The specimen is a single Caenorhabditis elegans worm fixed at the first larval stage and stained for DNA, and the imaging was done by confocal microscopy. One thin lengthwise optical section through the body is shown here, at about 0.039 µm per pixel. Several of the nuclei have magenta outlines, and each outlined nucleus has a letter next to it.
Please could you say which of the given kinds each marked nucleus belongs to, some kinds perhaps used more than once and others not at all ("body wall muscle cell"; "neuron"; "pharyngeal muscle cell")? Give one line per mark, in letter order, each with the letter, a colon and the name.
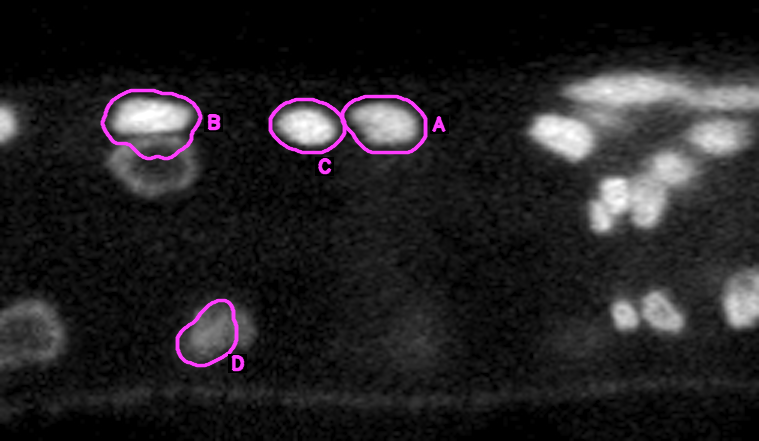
A: neuron
B: neuron
C: neuron
D: body wall muscle cell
